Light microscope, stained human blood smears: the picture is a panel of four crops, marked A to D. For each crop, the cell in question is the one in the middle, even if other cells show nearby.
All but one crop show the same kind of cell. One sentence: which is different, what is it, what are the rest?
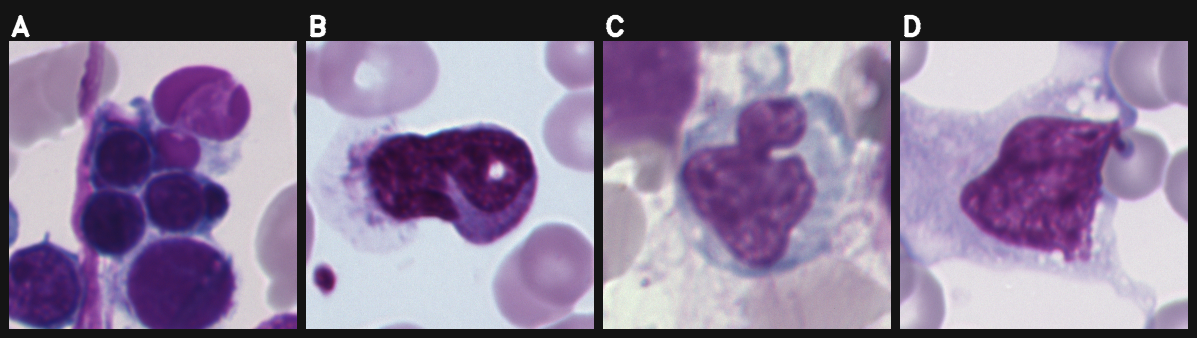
Crop A is the sole crop with a myeloblast; the others all have monocytes.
